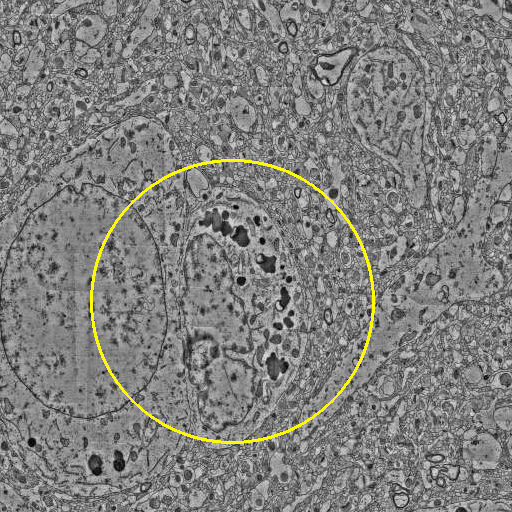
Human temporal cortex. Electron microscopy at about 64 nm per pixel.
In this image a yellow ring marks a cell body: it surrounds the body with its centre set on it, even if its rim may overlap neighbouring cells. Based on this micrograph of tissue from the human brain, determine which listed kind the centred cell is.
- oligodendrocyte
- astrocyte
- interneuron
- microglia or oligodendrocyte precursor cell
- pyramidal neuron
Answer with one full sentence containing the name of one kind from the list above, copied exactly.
It is an interneuron whose body the yellow ring encloses at its centre.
